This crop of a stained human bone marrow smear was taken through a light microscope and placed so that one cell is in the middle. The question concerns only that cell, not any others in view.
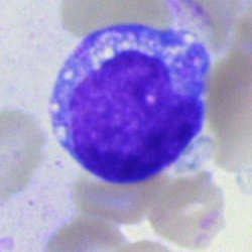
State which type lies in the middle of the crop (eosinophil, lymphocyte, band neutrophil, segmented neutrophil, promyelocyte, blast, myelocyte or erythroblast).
blast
